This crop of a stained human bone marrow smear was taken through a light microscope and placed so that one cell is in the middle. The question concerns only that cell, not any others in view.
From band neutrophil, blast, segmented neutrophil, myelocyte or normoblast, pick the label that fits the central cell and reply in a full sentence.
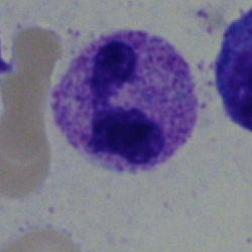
In the center of this field lies a segmented neutrophil.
